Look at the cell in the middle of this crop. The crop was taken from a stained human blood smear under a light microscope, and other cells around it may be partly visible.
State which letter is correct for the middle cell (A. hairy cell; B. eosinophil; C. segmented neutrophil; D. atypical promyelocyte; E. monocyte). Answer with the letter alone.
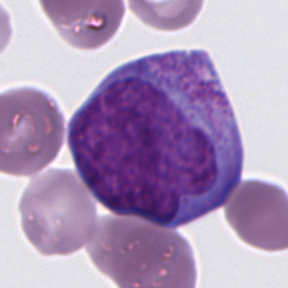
D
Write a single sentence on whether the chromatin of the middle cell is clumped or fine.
Coarse clumps are absent, and the chromatin is fine throughout.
